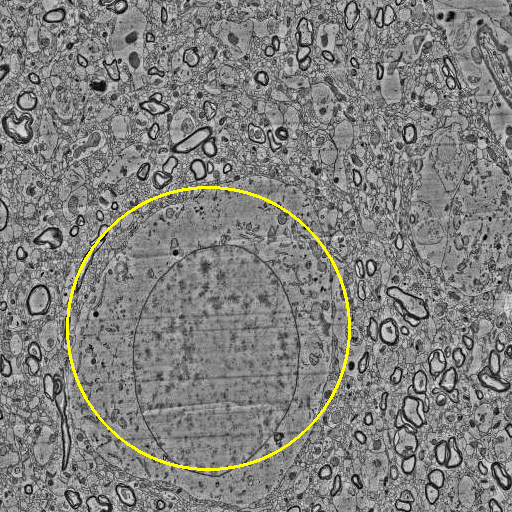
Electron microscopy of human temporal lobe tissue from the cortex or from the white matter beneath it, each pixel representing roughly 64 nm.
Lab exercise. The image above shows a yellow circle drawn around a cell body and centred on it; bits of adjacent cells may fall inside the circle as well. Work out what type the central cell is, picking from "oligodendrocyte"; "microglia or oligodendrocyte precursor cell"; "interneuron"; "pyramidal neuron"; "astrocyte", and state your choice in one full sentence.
In the image above, the cell at the centre of the yellow circle is a pyramidal neuron.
